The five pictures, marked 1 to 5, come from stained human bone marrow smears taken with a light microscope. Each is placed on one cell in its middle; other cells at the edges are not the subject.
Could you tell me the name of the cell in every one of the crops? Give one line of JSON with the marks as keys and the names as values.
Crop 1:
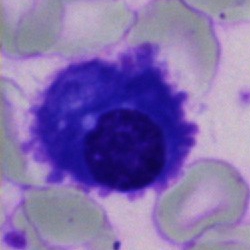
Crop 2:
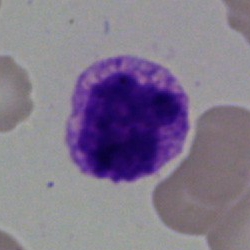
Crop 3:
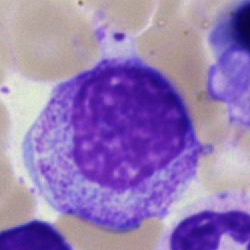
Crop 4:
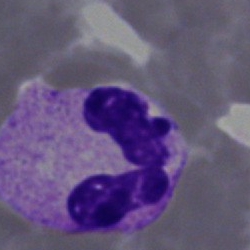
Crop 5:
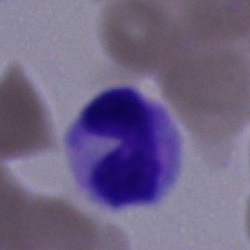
{"1": "plasma cell", "2": "basophil", "3": "myelocyte", "4": "segmented neutrophil", "5": "band neutrophil"}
